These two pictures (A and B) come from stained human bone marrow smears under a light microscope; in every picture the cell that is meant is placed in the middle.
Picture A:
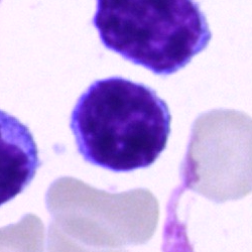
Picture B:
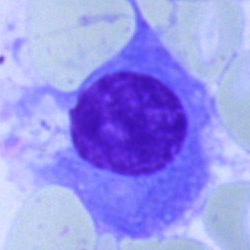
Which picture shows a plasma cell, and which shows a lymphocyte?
A: lymphocyte
B: plasma cell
